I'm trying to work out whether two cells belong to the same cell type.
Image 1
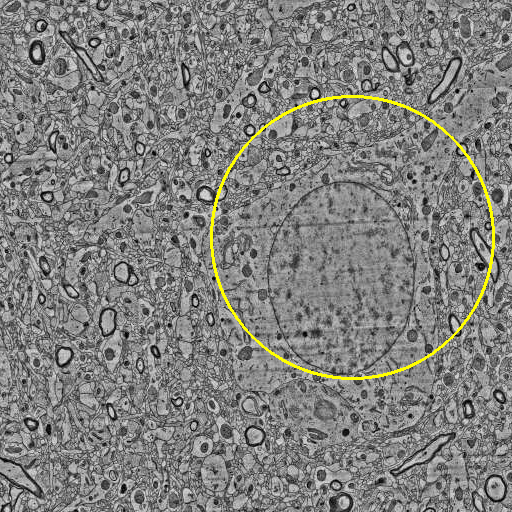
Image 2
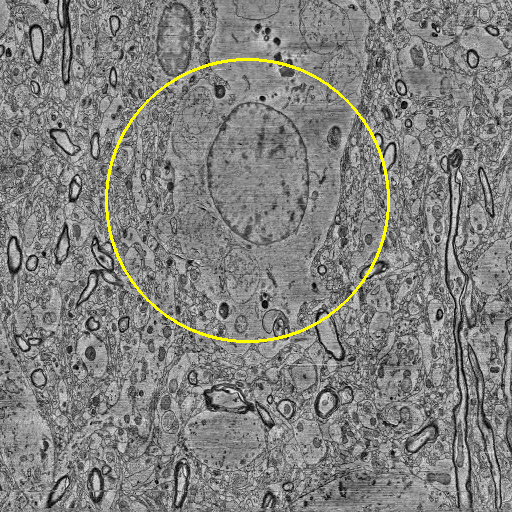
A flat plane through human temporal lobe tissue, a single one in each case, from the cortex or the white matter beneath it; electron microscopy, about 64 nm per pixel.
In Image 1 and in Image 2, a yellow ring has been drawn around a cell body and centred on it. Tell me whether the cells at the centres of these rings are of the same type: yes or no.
no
